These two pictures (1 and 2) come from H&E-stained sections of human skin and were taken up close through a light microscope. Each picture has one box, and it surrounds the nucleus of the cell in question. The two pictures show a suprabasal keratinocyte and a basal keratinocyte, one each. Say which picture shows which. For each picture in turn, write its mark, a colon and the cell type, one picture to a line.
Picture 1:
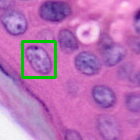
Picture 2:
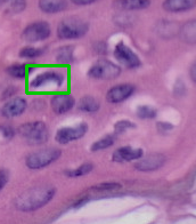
1: suprabasal keratinocyte
2: basal keratinocyte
